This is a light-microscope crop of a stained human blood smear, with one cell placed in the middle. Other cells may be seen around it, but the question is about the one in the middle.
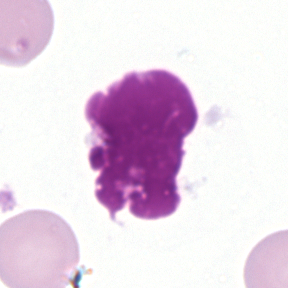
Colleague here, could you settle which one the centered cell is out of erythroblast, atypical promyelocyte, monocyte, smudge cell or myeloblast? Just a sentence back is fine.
What the crop centres on is a smudge cell.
